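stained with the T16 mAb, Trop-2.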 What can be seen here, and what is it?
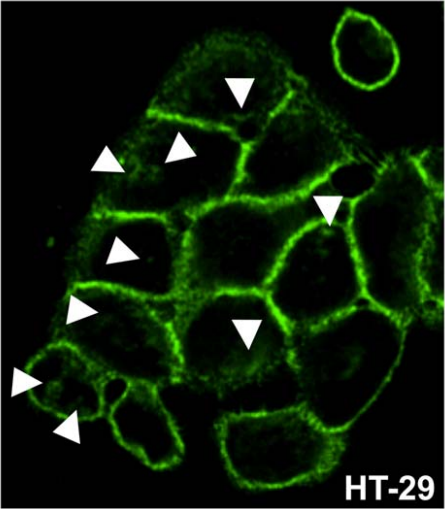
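Where neighbouring cells meet, the green line is sharp and continuous. The cell interiors are mostly dark, with the large nuclear regions showing as unstained areas, but faint green granules and small dots lie in the cytoplasm just inside the border, and the white arrowheads point to such cytoplasmic deposits. A single separate cell at the top right shows only a bright green ring around its edge.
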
